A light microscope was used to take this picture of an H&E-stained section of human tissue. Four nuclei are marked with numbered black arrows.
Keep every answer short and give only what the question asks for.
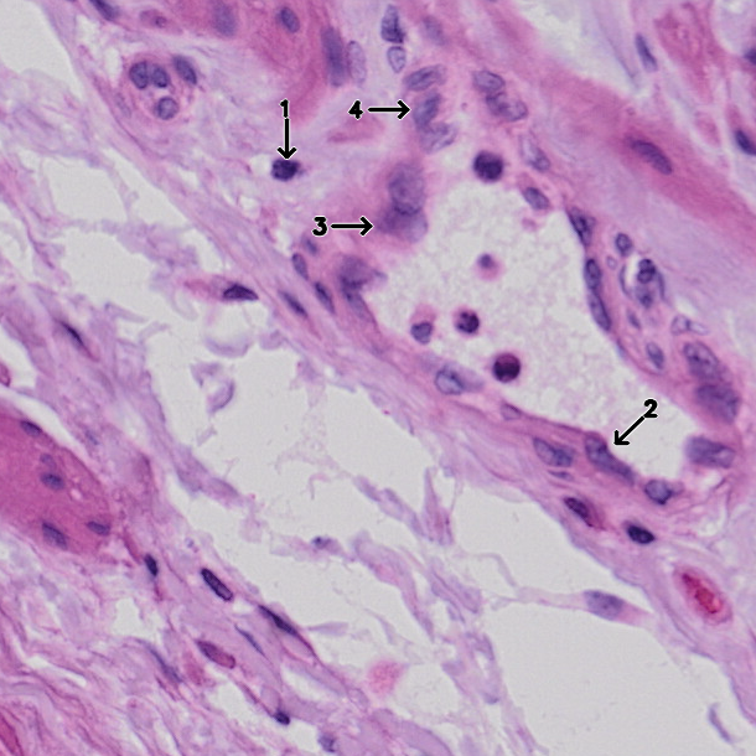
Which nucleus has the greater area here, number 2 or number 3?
3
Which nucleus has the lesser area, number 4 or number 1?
1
